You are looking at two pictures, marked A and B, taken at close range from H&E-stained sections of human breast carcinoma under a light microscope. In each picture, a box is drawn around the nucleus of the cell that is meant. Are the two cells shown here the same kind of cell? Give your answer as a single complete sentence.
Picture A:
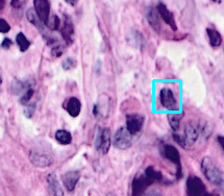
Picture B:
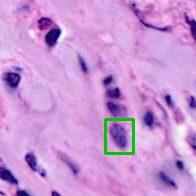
No, they differ: the cell is a lymphocyte in picture A and a mast cell in picture B.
